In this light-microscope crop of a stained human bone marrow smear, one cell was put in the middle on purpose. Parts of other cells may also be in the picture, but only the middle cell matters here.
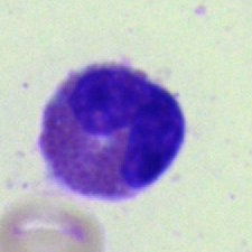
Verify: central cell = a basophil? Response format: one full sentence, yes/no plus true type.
No, not a basophil but an eosinophil is the cell in the centre.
